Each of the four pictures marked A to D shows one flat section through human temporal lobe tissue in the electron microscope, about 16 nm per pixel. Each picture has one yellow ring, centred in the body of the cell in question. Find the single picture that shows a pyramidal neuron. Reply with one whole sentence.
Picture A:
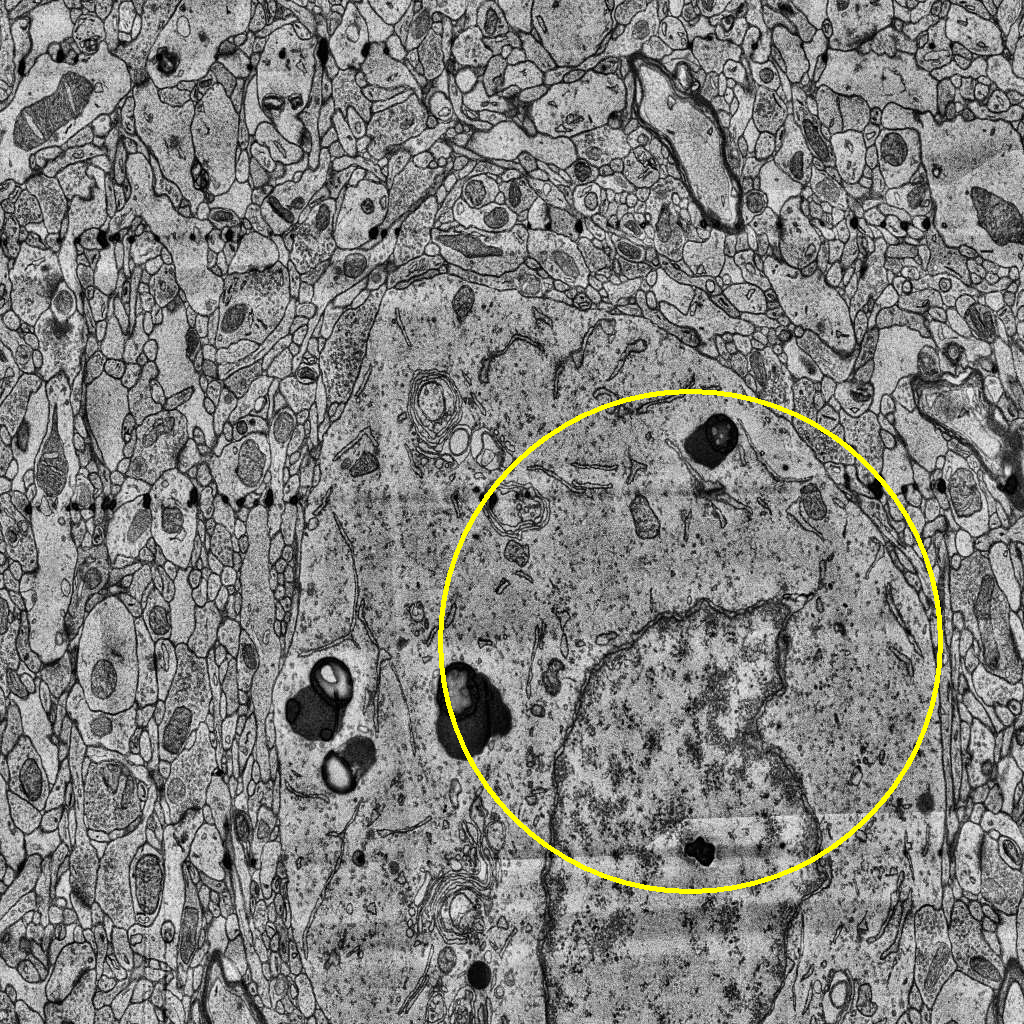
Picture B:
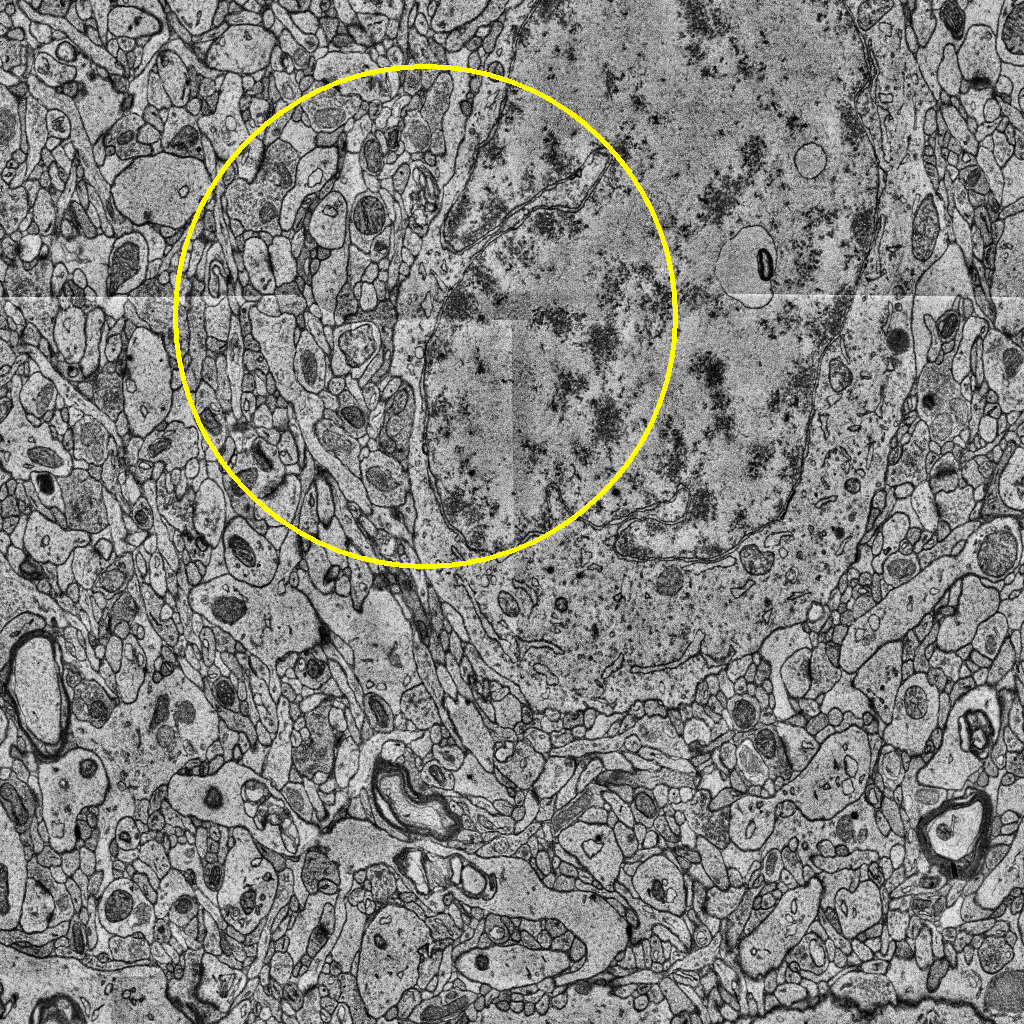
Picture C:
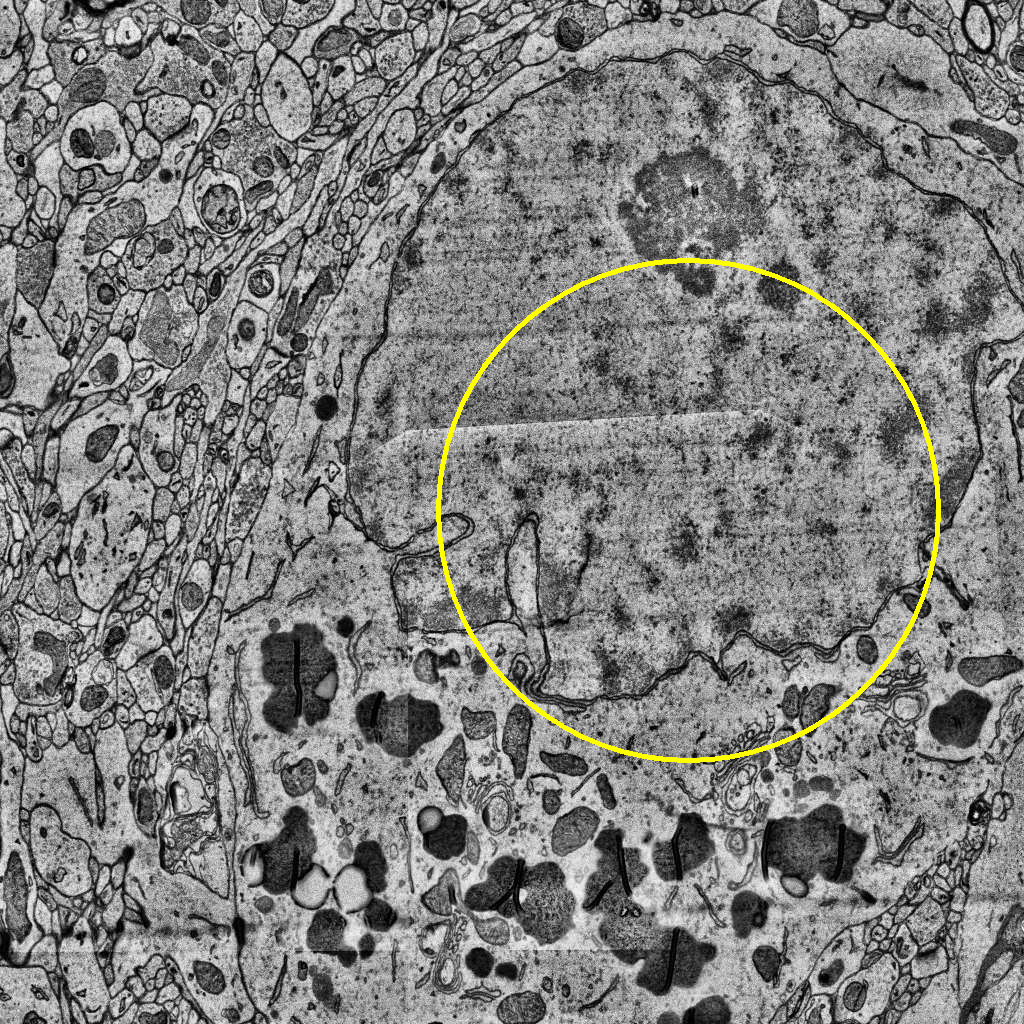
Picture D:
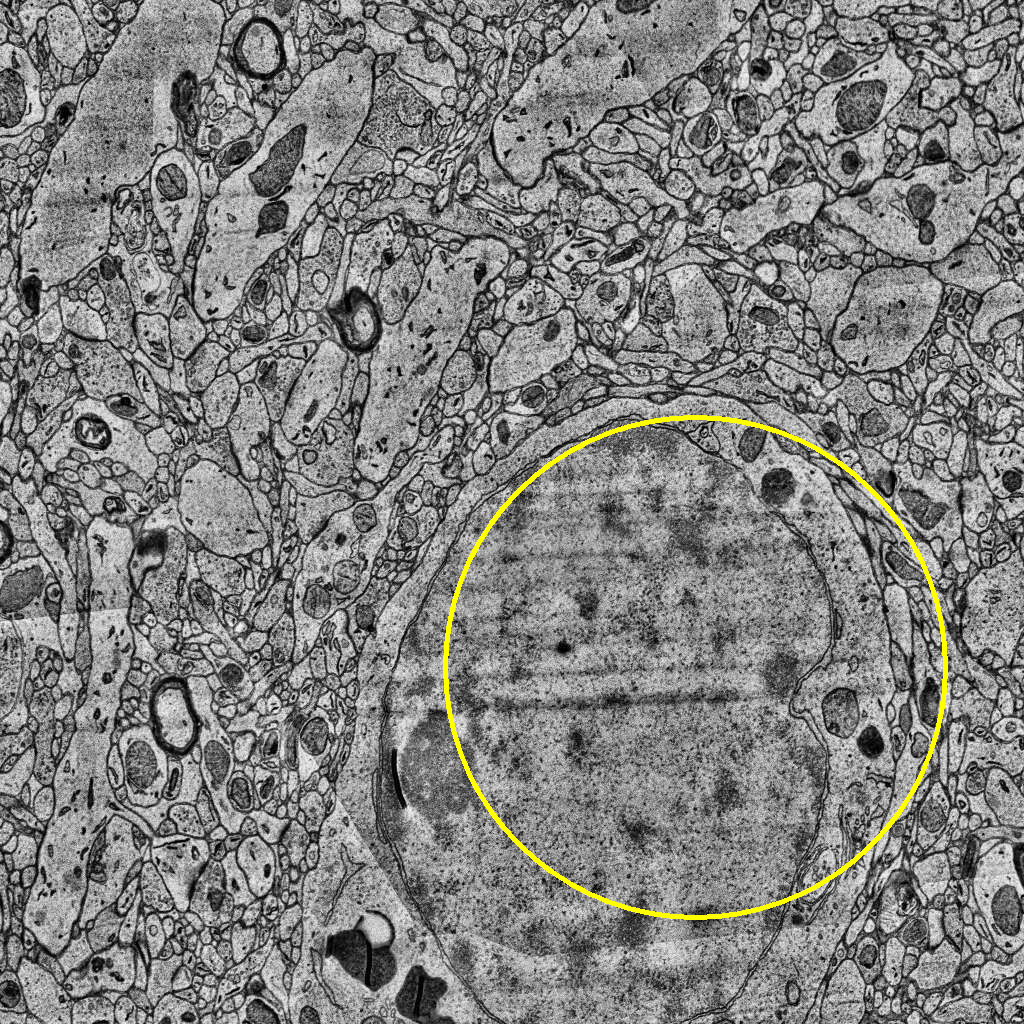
Picture A shows the pyramidal neuron.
